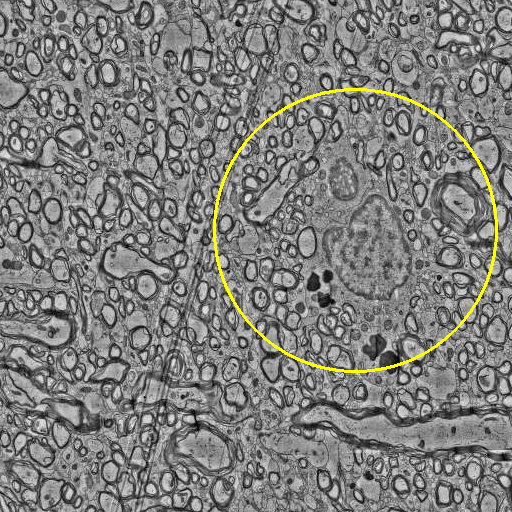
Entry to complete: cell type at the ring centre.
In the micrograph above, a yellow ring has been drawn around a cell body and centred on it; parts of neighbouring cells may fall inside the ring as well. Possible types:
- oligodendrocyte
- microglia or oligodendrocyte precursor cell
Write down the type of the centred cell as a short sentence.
The ring is centred on an oligodendrocyte.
